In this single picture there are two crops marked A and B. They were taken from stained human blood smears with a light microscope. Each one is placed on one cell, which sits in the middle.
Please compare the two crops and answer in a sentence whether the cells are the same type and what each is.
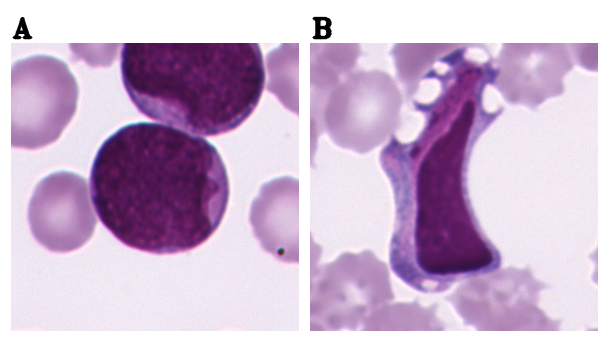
Yes, the pair of crops both show myeloblasts.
